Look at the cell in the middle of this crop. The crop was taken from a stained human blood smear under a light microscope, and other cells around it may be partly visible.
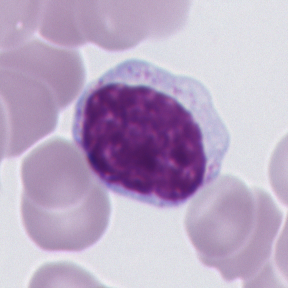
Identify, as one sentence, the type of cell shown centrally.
The cell around which this crop is centred is a large granular lymphocyte.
